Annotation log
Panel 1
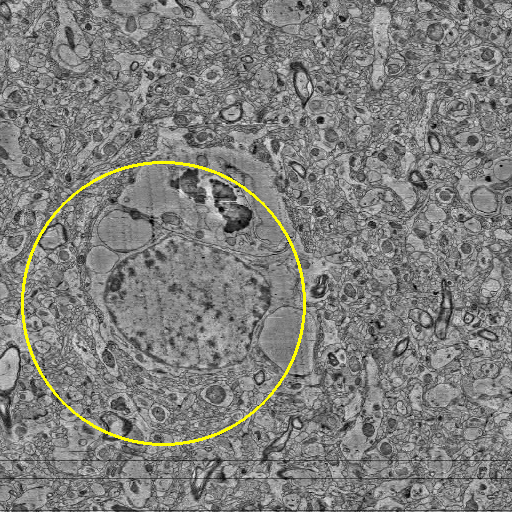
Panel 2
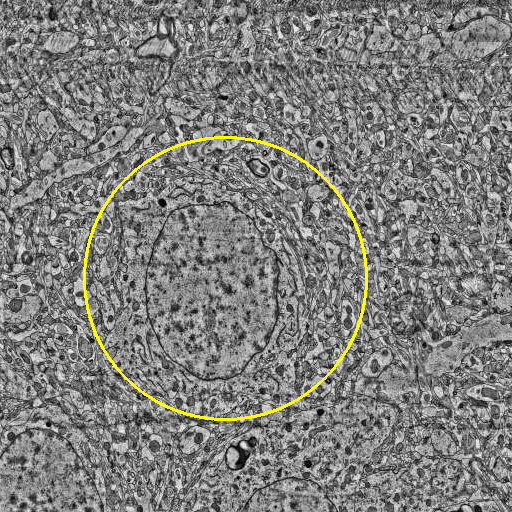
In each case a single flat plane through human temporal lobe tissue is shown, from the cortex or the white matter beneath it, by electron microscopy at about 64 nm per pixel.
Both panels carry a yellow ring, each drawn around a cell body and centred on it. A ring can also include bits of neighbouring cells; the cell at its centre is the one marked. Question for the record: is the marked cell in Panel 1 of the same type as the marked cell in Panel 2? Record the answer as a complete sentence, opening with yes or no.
No, the marked cells in Panel 1 and Panel 2 are of two types.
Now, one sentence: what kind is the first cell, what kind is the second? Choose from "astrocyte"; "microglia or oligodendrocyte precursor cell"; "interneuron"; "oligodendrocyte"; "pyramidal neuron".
The first picture has an astrocyte at its ring centre, and the second has a pyramidal neuron.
